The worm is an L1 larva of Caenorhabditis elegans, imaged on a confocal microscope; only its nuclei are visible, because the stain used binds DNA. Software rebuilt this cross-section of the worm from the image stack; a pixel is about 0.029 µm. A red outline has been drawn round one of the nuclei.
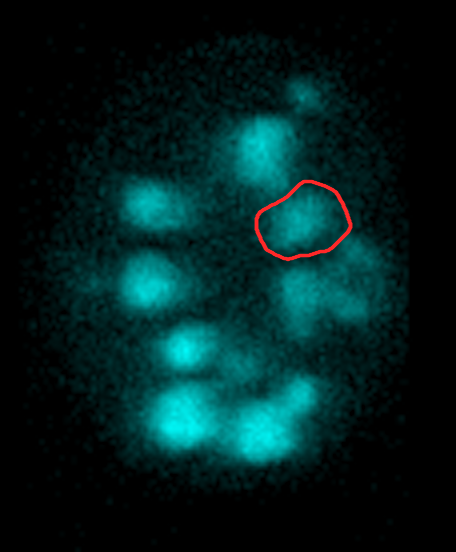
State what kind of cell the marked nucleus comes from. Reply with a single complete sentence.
It is the nucleus of a pharyngeal marginal cell.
